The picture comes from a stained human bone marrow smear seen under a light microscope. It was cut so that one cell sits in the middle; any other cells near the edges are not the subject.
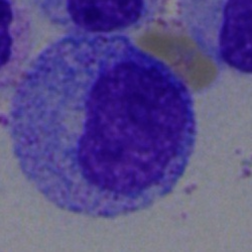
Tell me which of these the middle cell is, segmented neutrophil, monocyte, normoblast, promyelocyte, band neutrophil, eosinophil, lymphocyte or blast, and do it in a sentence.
In the crop, the cell of interest at the centre is a promyelocyte.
